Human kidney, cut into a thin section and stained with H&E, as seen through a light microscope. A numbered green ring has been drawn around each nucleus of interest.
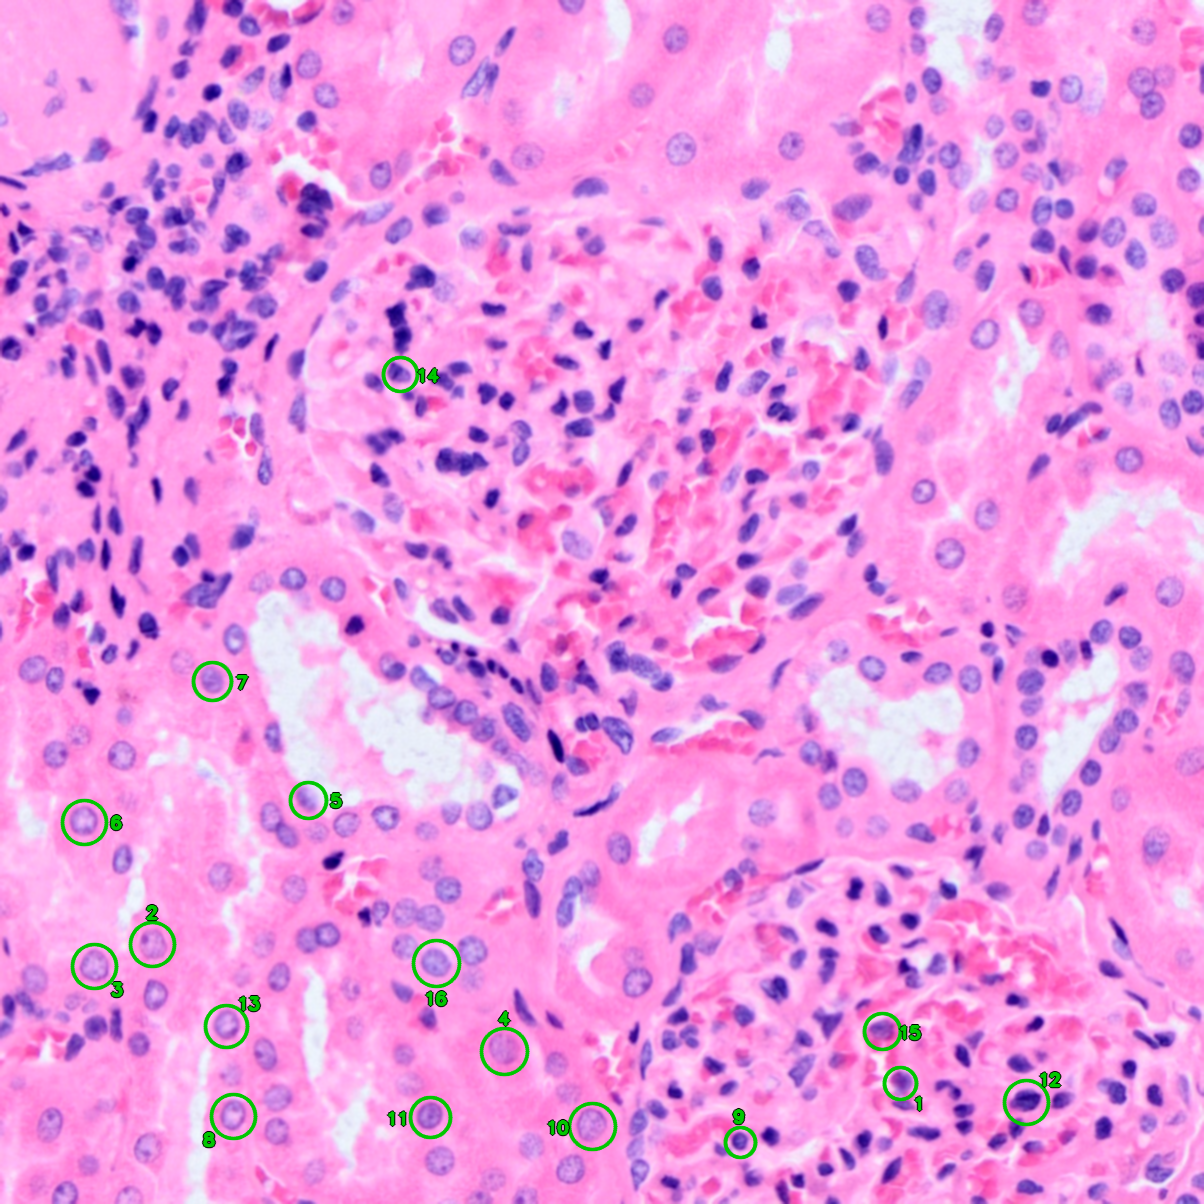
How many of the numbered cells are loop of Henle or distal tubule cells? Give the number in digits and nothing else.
2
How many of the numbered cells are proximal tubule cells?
9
